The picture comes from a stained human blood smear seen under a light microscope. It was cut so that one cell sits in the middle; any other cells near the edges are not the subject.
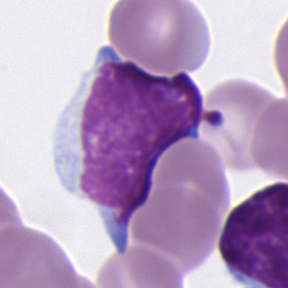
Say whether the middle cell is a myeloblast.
no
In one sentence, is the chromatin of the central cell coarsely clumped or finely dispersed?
The chromatin is fine throughout, without coarse clumps.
